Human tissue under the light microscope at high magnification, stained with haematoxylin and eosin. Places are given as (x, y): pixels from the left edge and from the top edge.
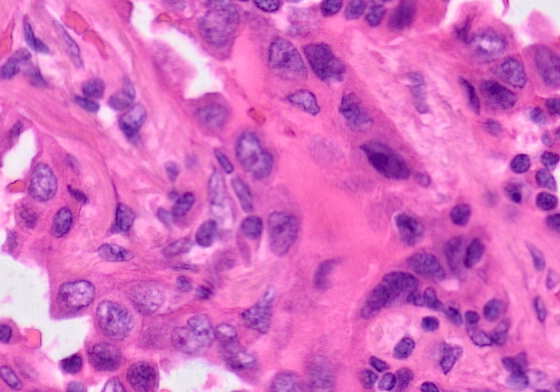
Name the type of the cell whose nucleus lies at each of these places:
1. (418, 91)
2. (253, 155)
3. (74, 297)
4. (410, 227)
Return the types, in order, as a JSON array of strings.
["fibroblast", "carcinoma cell", "carcinoma cell", "carcinoma cell"]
